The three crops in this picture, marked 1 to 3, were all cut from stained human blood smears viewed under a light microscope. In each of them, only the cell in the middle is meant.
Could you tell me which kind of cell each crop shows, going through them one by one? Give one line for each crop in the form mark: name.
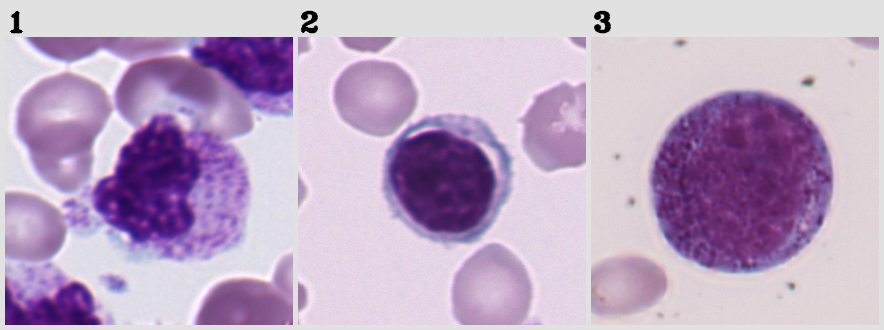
1: neutrophil
2: lymphocyte
3: promyelocyte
